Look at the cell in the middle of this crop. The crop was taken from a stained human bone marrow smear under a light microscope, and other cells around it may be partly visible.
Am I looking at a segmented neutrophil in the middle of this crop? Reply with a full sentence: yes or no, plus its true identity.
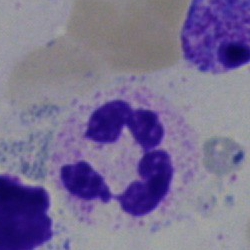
Yes, the cell at the middle is a segmented neutrophil.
